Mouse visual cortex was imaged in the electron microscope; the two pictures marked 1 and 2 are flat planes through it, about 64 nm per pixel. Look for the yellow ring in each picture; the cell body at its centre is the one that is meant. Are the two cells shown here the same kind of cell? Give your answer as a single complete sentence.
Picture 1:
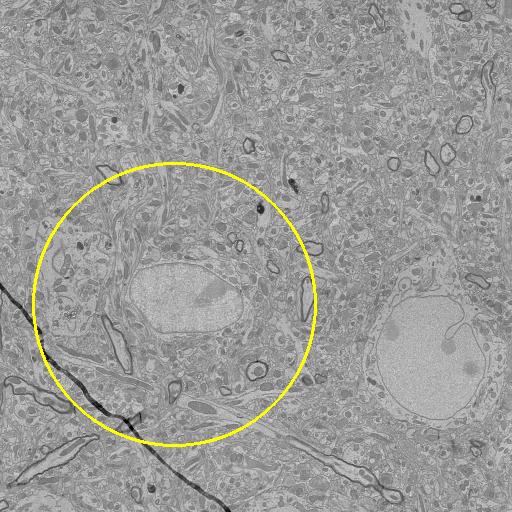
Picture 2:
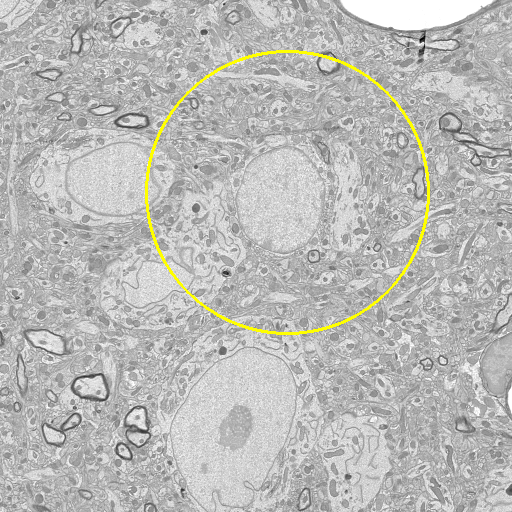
Yes; the cells in both pictures are astrocytes.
